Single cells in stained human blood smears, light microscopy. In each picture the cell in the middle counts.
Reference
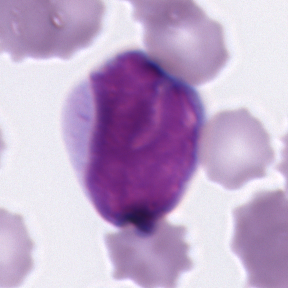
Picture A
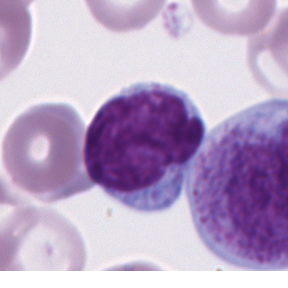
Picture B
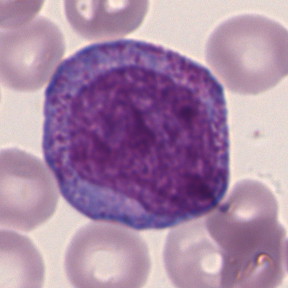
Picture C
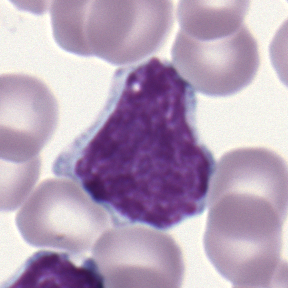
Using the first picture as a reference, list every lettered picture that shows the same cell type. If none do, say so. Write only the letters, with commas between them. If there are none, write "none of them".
none of them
